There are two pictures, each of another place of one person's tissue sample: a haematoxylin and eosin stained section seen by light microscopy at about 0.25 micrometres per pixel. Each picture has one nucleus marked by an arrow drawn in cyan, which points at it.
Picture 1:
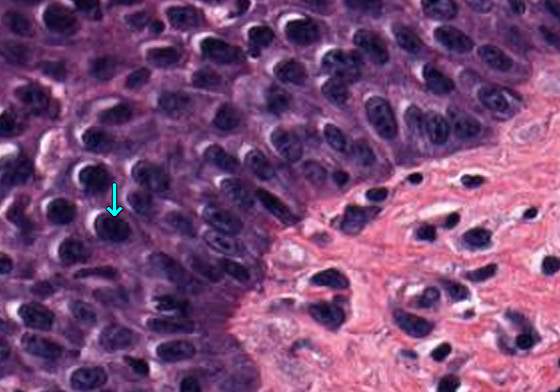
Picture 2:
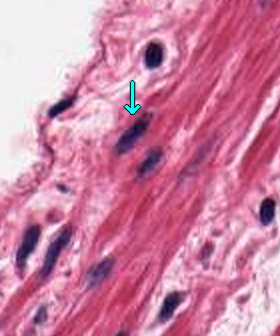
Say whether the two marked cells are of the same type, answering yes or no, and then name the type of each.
No, the first is a squamous epithelial cell and the second a smooth muscle cell.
